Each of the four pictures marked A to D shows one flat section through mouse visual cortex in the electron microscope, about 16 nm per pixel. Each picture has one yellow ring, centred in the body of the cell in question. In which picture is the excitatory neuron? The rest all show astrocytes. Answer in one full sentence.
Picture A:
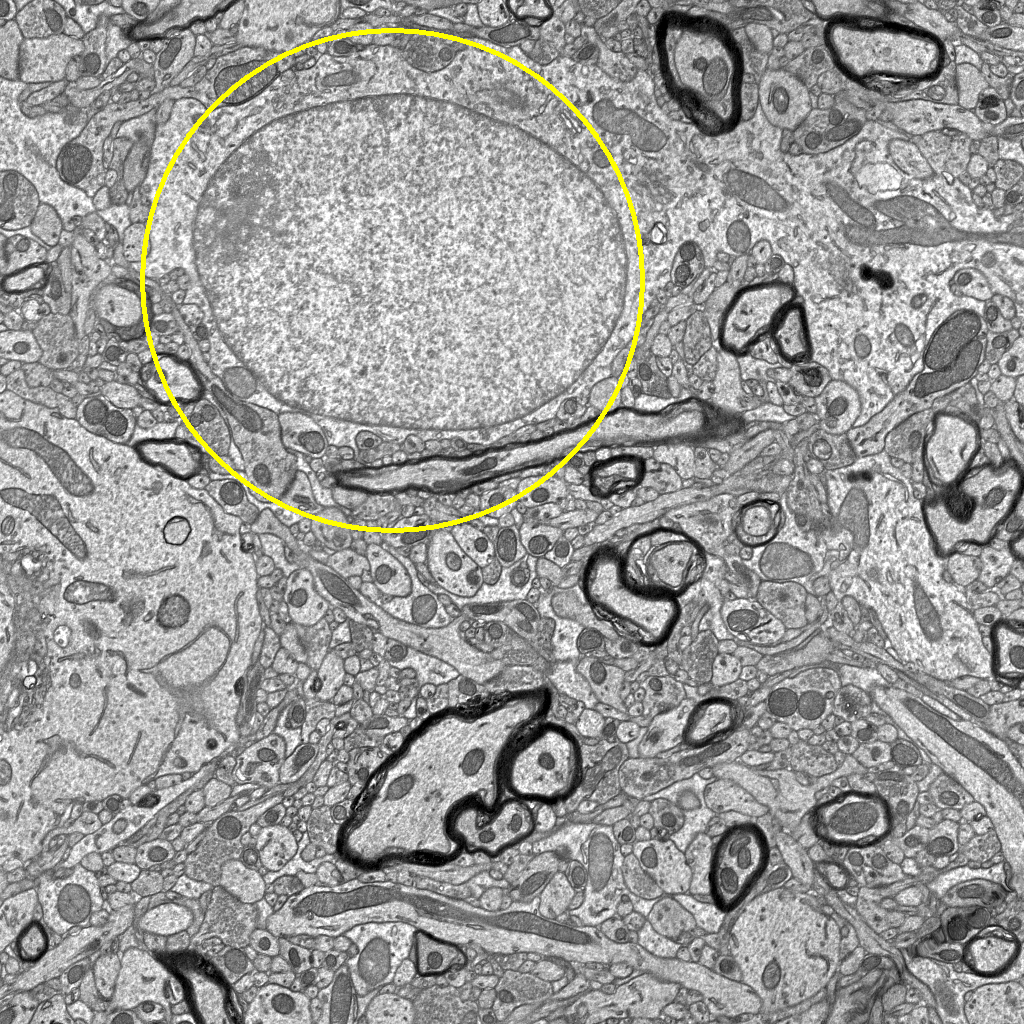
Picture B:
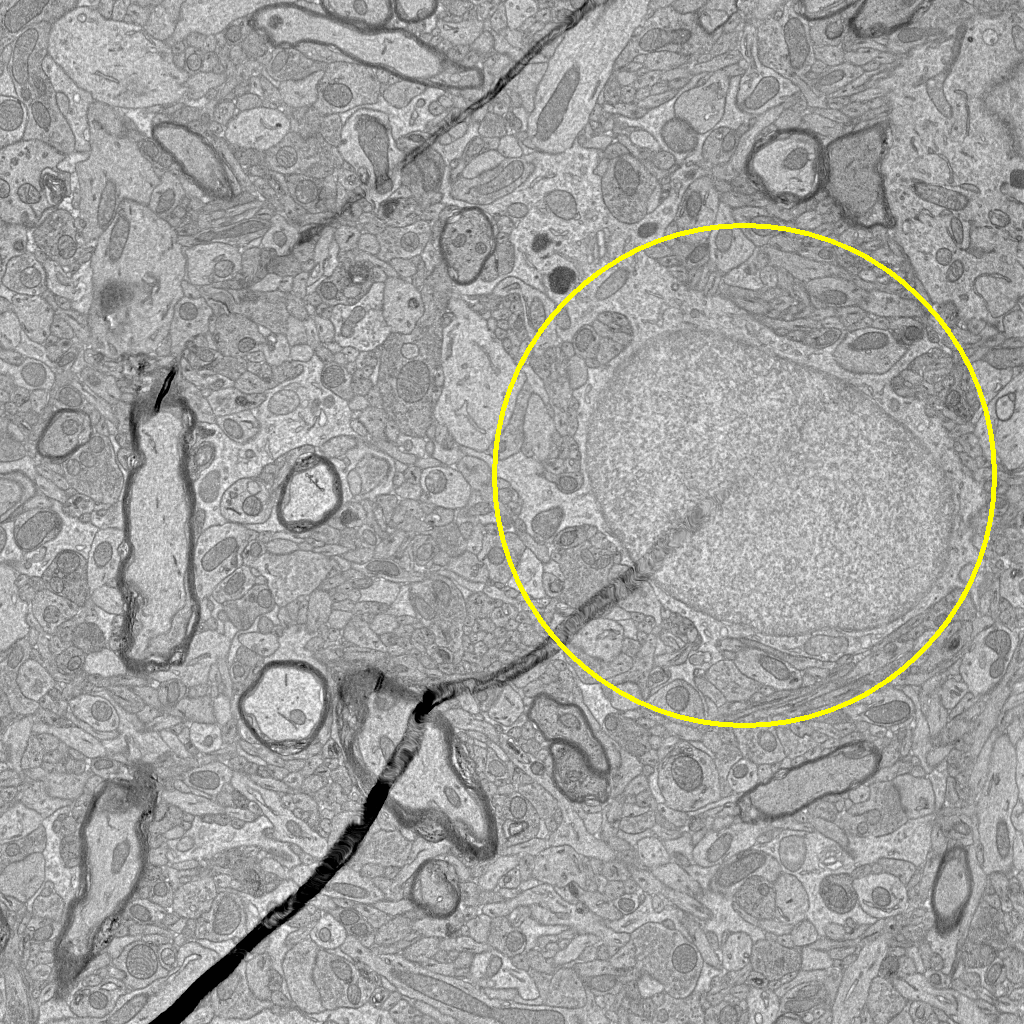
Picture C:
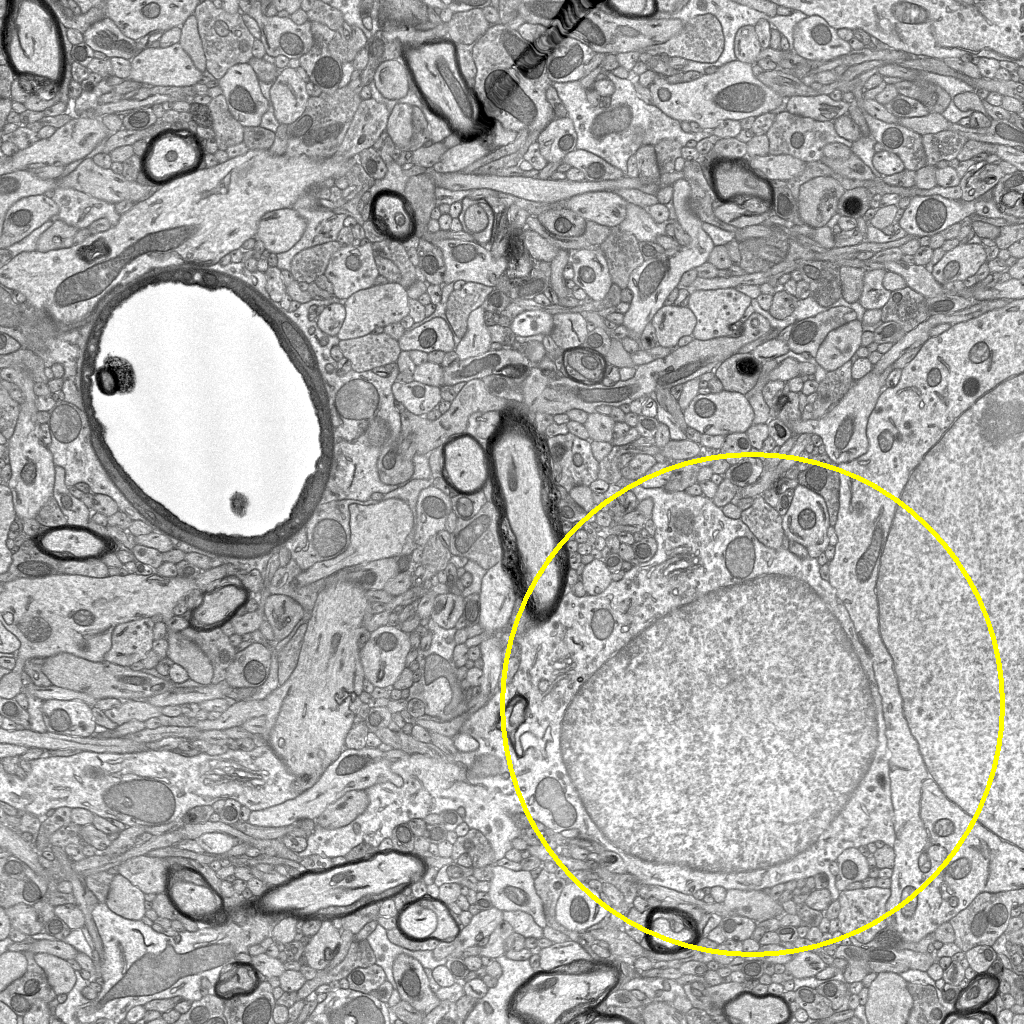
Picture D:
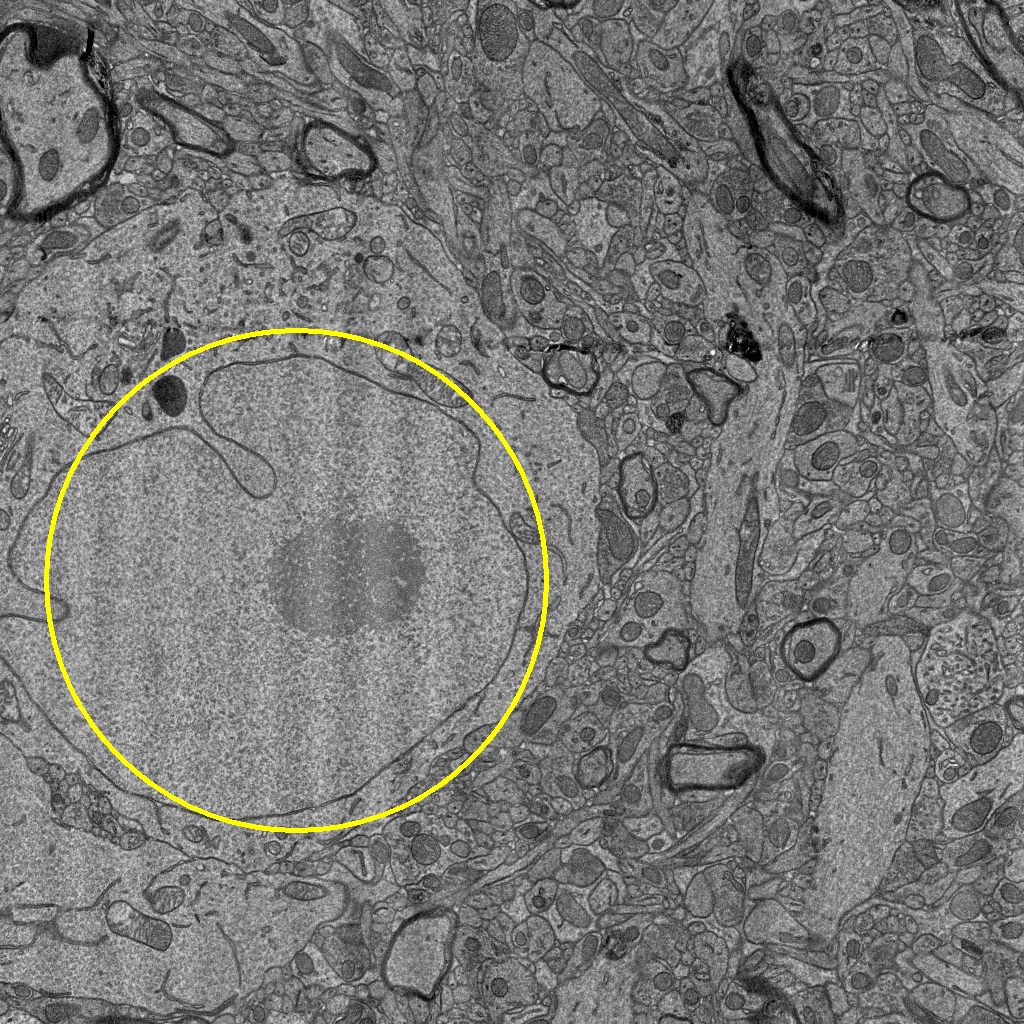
The excitatory neuron is the one in picture D.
